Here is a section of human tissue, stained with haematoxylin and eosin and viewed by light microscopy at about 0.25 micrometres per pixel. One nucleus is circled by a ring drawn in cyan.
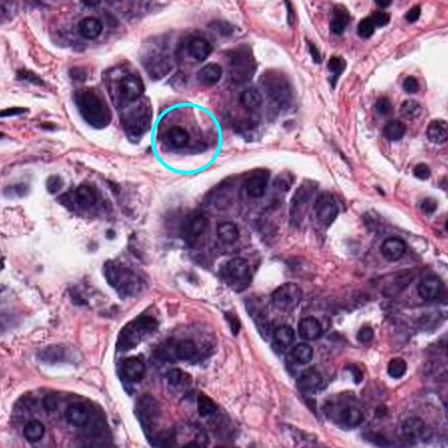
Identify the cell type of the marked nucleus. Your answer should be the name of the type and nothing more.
pancreatic acinar cell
